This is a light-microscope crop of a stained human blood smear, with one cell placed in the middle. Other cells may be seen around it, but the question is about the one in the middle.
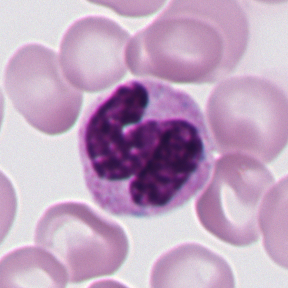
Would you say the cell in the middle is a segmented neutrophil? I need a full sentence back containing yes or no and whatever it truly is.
Yes, that is a segmented neutrophil in the middle of the crop.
